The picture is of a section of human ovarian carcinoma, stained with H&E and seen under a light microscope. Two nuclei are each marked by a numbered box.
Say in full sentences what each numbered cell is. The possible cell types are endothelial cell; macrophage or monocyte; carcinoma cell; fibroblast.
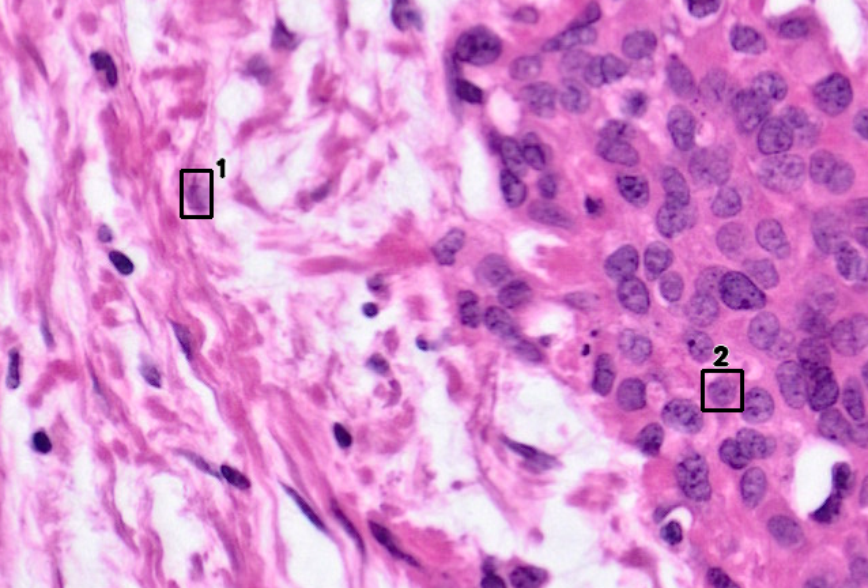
Cell 1 is a fibroblast. Cell 2 is a carcinoma cell.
